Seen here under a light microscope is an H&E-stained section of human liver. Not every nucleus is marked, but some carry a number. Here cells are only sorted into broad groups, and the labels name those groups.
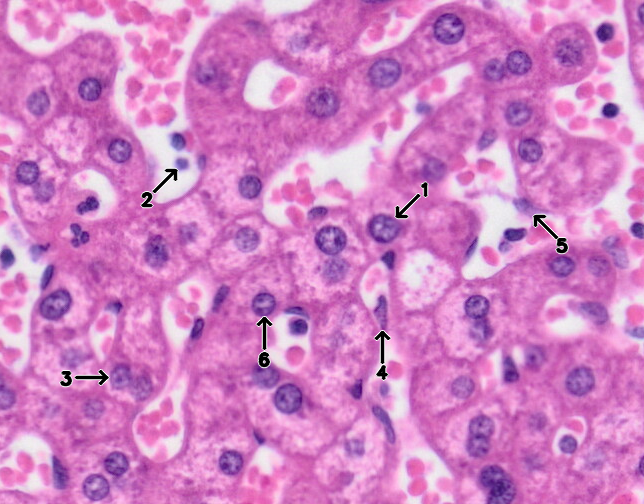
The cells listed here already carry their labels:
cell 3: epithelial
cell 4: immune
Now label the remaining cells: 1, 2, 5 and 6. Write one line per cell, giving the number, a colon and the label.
1: epithelial
2: immune
5: immune
6: epithelial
